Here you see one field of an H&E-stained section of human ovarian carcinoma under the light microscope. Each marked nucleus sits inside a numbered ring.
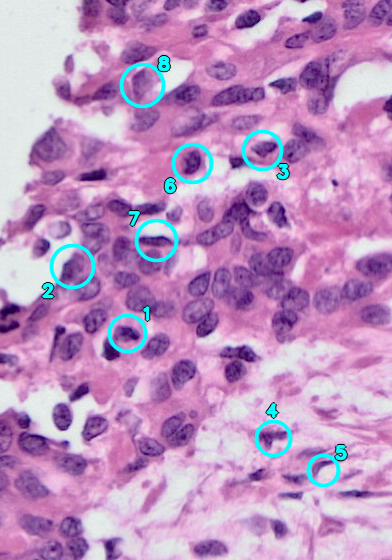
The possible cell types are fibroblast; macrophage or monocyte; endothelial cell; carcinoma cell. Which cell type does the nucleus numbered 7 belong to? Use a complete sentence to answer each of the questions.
In this section, number 7 marks a carcinoma cell.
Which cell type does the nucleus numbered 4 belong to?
The cell carrying label 4 is identified as a fibroblast.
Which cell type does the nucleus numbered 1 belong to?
Corresponding to a macrophage or monocyte is the cell labelled 1.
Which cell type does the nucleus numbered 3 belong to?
Belonging to a macrophage or monocyte is the nucleus that carries the number 3.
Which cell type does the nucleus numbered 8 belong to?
In the marked set, the cell given number 8 is a carcinoma cell.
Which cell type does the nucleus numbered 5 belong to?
The cell bearing label 5 corresponds to a fibroblast.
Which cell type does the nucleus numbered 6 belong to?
Among the marked nuclei, number 6 belongs to a macrophage or monocyte.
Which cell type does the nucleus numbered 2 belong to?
The identity of cell 2 is that of a carcinoma cell.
